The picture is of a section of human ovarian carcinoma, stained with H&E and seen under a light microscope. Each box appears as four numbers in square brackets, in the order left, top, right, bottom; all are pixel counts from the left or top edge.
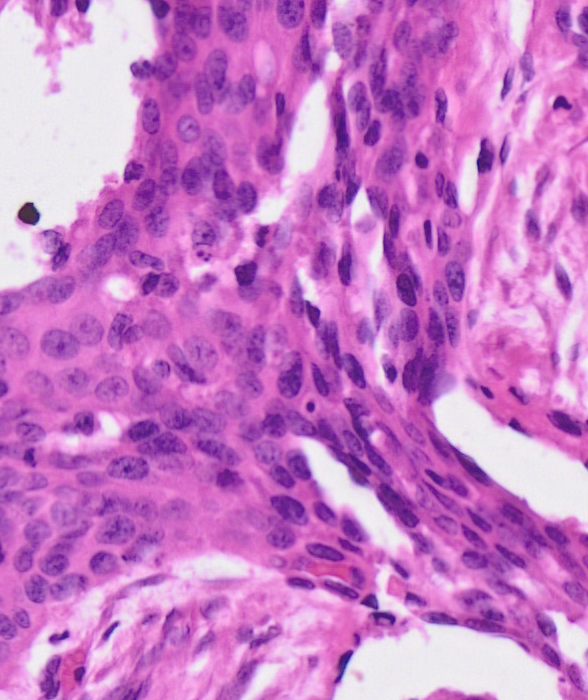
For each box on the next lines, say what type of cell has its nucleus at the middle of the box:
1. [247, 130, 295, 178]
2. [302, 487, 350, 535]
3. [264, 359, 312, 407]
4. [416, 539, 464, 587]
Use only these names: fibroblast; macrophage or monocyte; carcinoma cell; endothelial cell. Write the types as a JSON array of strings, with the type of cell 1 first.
["carcinoma cell", "carcinoma cell", "carcinoma cell", "macrophage or monocyte"]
